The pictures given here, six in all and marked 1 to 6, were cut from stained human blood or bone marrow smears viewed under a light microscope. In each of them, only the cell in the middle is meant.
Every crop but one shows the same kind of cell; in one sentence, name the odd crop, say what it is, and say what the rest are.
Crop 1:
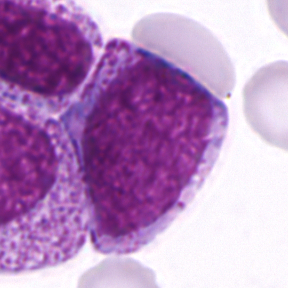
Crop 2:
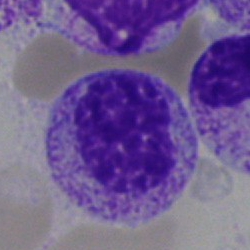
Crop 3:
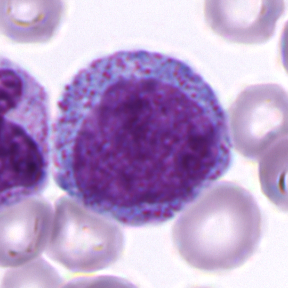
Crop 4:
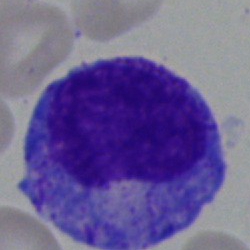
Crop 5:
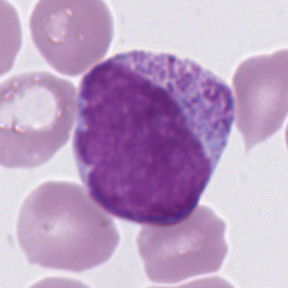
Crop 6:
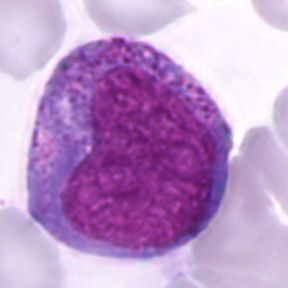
Crop 2 breaks the pattern with a myelocyte; all the others show promyelocytes.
